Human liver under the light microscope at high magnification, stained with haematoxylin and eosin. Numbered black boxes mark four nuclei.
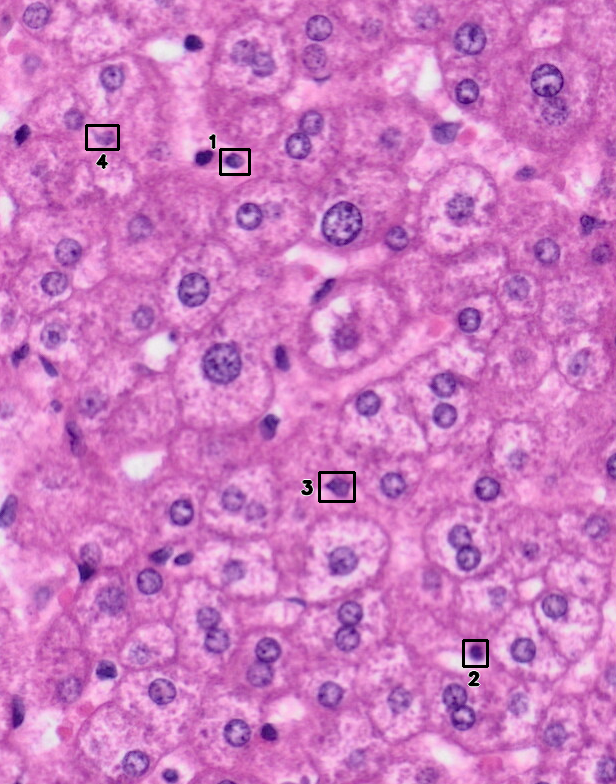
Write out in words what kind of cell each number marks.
Cell 1 is a lymphocyte, cell 2 is a lymphocyte, cell 3 is an endothelial cell and cell 4 is an endothelial cell.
